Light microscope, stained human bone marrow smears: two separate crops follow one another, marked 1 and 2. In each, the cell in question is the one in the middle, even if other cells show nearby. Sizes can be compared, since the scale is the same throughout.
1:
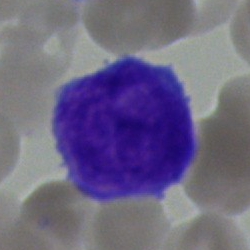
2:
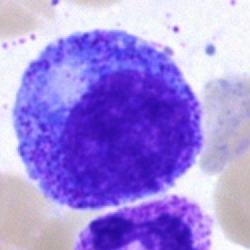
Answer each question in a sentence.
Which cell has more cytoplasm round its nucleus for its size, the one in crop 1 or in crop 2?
It is the cell in crop 2 that is filled less by its nucleus.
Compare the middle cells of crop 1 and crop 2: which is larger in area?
The cell in crop 2 is larger, with about 1.5 times the area of the one in crop 1.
